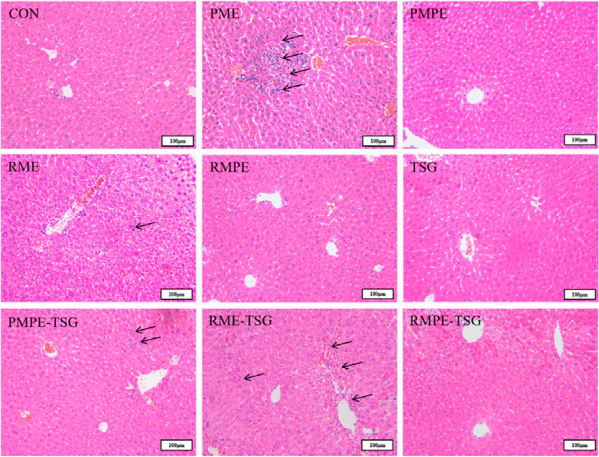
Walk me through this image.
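A grid of liver sections shows plates of polygonal hepatocytes with pink cytoplasm and round nuclei, arranged around central veins. In several fields, clusters of small cells with dense dark purple nuclei gather in the parenchyma and near vessels, marked by black arrows. Other fields show regular hepatocyte cords without such clusters.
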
